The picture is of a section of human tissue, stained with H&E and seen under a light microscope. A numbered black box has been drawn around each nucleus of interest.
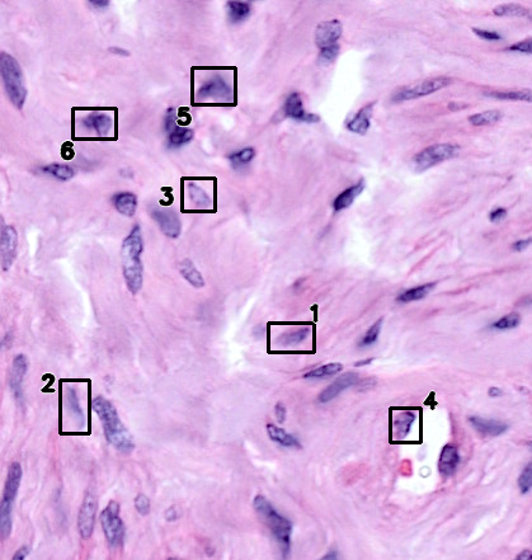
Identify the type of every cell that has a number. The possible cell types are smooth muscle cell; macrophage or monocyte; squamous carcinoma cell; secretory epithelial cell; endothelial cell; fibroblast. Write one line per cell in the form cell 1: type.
cell 1: smooth muscle cell
cell 2: fibroblast
cell 3: fibroblast
cell 4: endothelial cell
cell 5: fibroblast
cell 6: fibroblast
